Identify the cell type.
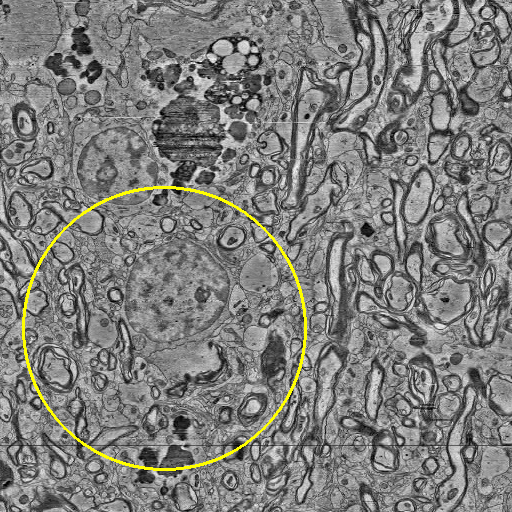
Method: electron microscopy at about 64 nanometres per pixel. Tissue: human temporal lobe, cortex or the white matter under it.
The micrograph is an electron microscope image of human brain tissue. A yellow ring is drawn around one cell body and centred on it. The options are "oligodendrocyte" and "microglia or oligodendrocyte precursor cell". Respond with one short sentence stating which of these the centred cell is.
The cell body in the ring belongs to an oligodendrocyte.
